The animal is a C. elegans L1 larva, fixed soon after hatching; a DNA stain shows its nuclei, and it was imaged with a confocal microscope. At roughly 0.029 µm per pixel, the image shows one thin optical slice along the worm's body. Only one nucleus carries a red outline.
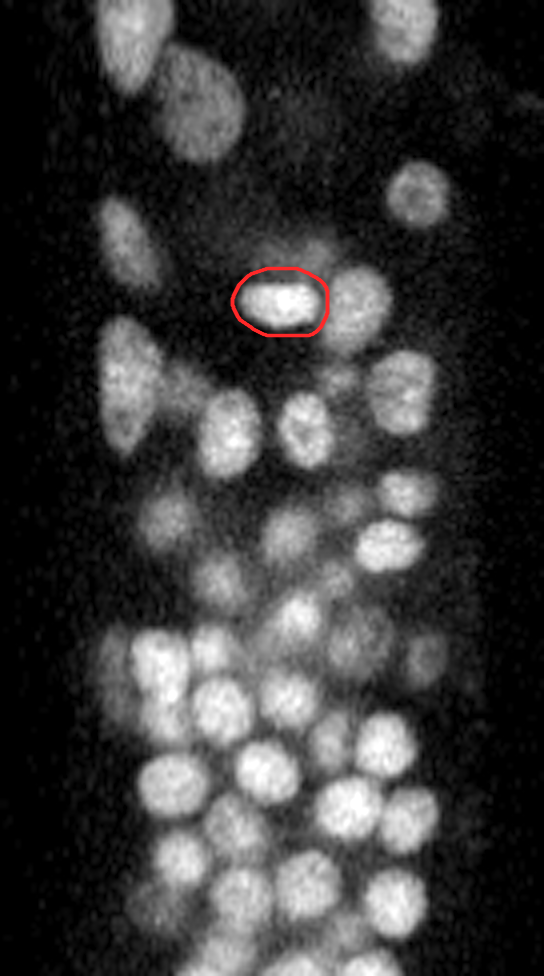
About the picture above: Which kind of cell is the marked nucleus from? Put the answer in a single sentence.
The nucleus comes from a valve cell of the gut.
